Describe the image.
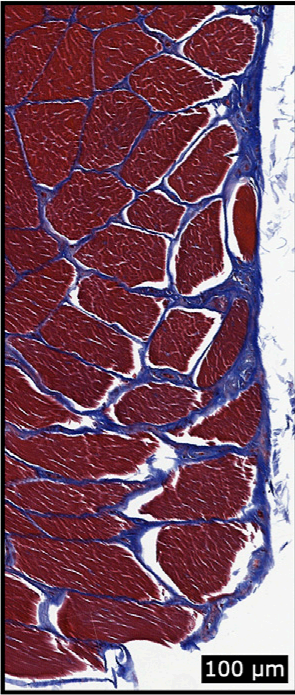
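Red polygonal muscle fibres cut in cross section lie packed together, each outlined by thin blue strands of connective tissue, with small clefts between some of them. Along the right edge a narrow continuous blue band borders the fibres and faces the empty space beyond. This is skeletal muscle with fibrous tissue woven between its fibres and forming a thin fibrous wall at its margin.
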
